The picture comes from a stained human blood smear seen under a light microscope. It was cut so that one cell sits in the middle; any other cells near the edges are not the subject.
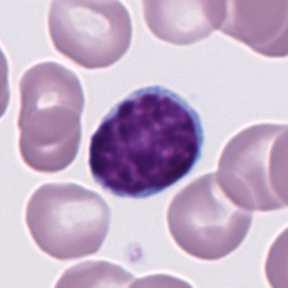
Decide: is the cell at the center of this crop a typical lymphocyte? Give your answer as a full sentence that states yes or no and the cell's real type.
Yes, the cell lying in the middle is a typical lymphocyte.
